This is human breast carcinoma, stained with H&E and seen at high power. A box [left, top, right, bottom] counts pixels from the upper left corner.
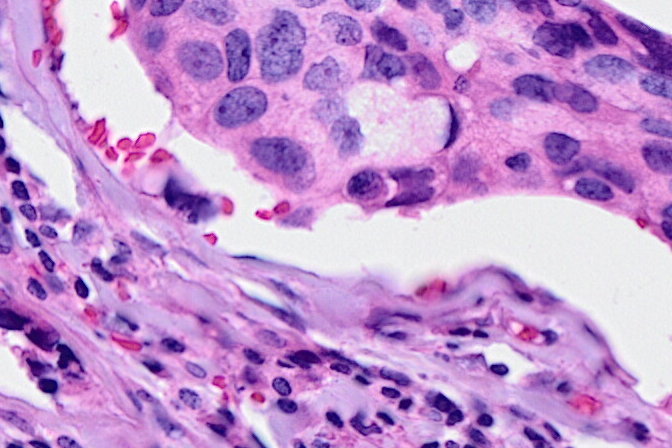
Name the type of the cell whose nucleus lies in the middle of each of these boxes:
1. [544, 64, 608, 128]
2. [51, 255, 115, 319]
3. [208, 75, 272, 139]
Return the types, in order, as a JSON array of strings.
["carcinoma cell", "lymphocyte", "carcinoma cell"]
